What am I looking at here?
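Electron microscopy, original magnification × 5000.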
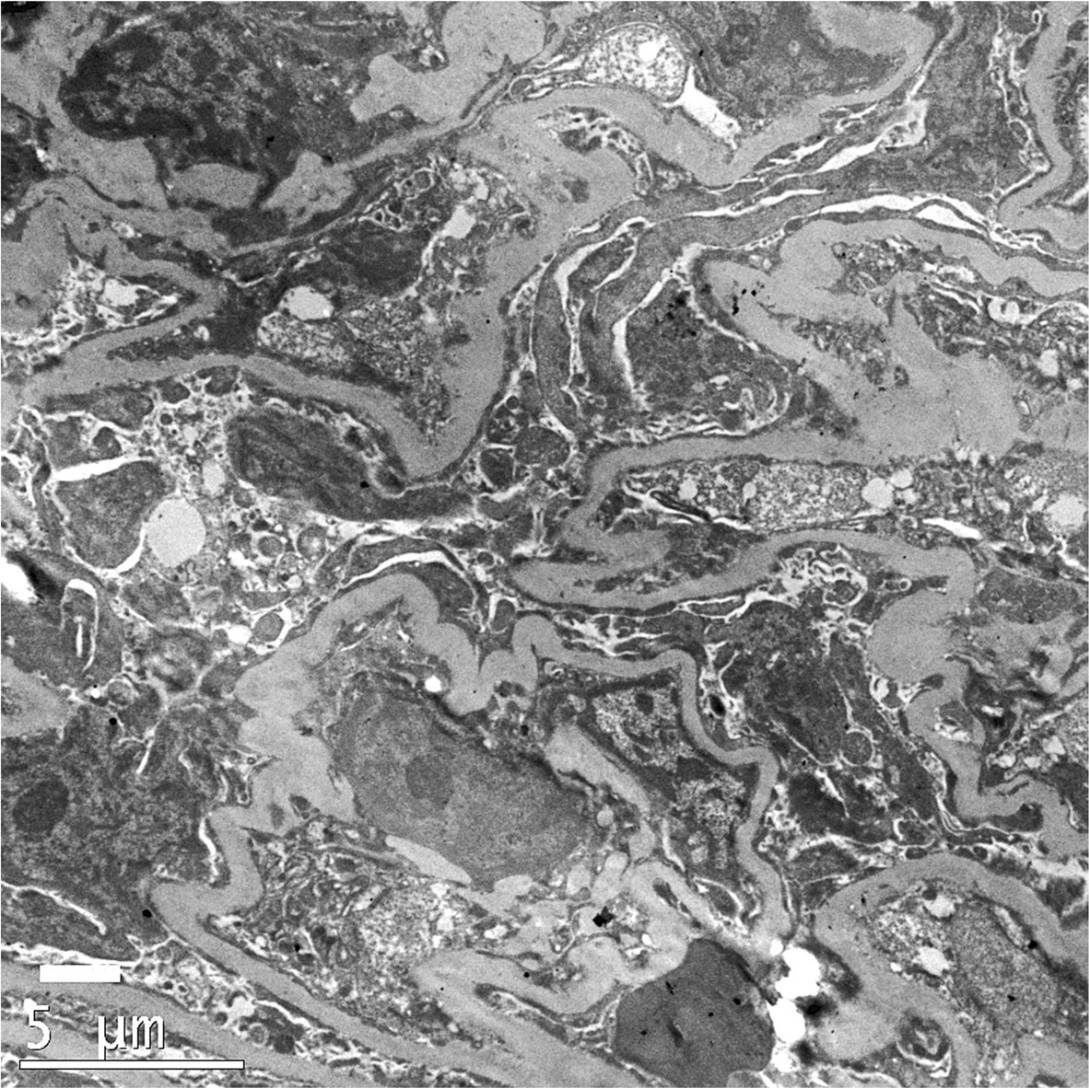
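This transmission electron micrograph shows a glomerulus, with winding capillary loops lined by homogeneous pale grey glomerular basement membrane. The basement membrane varies strikingly in thickness, broad in some stretches and thin in others. On its outer side the podocyte cytoplasm spreads as continuous sheets rather than as separate, regularly spaced foot processes. Cell bodies with dense nuclei and vacuolated cytoplasm lie between the loops.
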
